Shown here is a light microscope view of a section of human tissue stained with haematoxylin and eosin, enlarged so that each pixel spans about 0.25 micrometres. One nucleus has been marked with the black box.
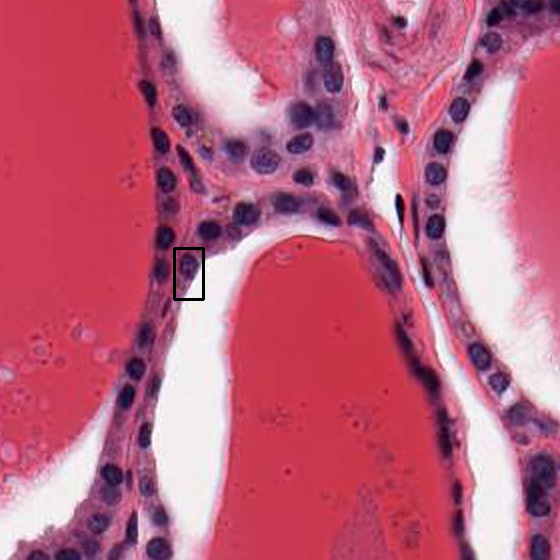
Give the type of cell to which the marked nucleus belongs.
thyroid follicular cell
